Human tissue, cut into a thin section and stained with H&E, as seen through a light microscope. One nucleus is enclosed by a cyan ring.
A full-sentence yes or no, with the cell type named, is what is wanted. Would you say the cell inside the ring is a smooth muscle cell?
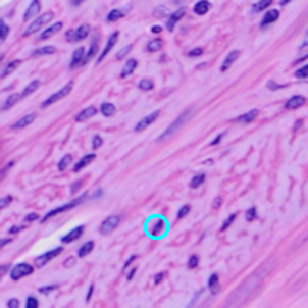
Yes, correct on this one: the cell inside the ring is a smooth muscle cell.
